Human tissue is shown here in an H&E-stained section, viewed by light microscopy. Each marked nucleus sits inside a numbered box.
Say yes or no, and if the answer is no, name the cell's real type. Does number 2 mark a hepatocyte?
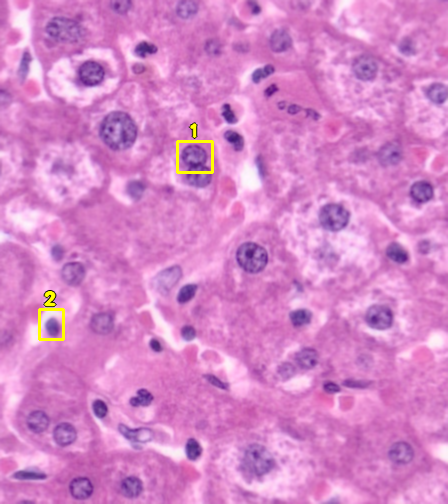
No, it is a lymphocyte.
